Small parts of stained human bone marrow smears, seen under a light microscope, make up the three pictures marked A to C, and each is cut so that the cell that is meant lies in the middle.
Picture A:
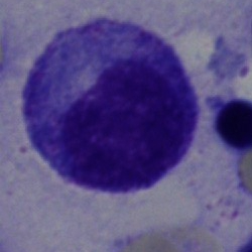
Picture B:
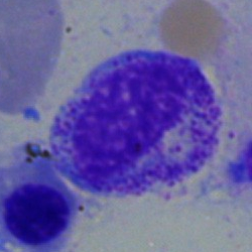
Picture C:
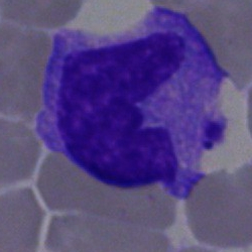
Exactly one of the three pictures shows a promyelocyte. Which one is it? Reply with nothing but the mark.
A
